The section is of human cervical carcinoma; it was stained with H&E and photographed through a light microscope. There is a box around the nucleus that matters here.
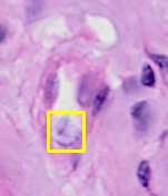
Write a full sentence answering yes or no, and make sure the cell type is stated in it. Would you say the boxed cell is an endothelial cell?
Yes, the boxed cell in this section represents an endothelial cell.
